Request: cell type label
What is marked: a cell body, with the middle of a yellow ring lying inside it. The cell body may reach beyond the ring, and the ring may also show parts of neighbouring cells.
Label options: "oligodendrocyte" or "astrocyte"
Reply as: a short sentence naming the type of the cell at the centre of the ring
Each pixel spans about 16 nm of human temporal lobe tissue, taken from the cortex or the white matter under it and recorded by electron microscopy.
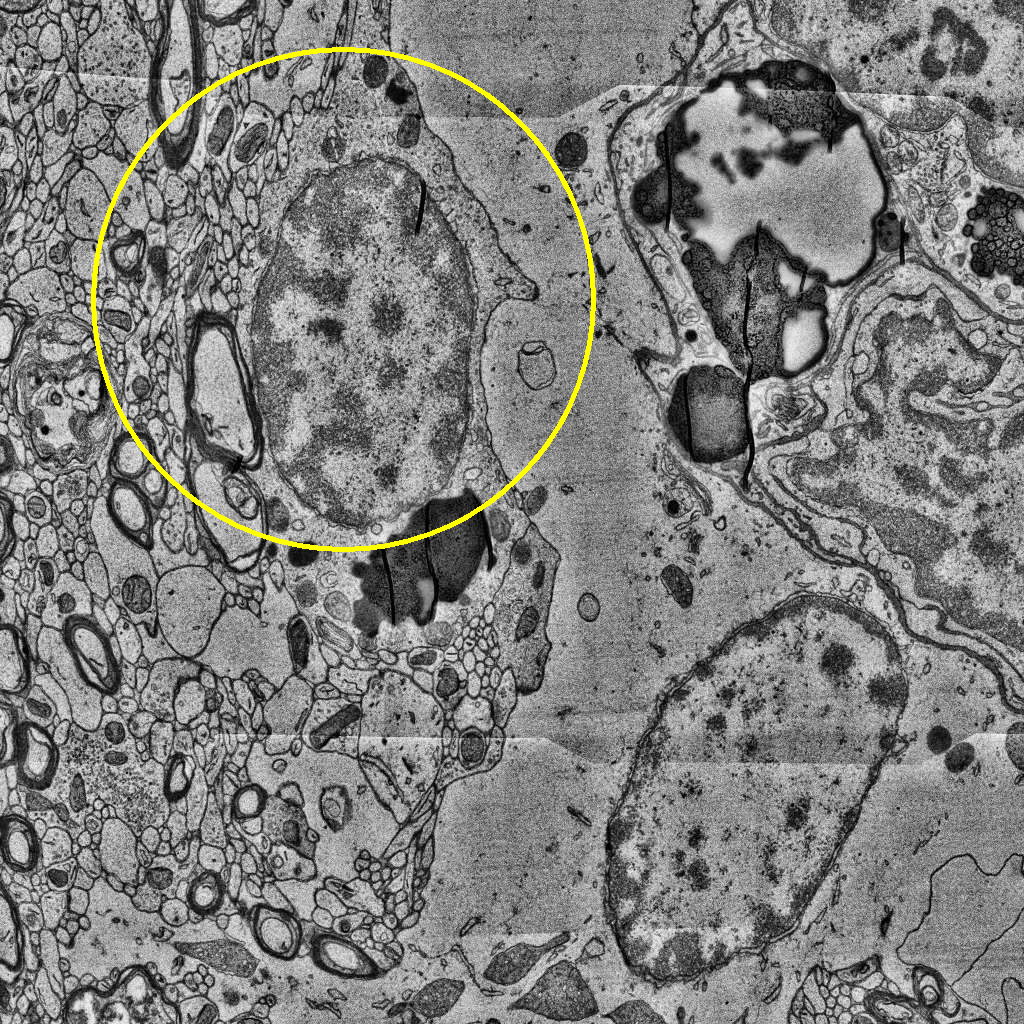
The marked cell body is that of an oligodendrocyte.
